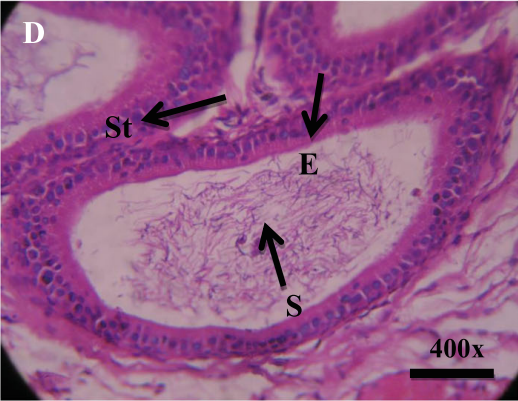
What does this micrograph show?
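A tubule lined by a thick, intact epithelium of crowded cells with several tiers of round purple nuclei and pink cytoplasm. The lumen holds a loose tangle of fine thread-like profiles, and the adjacent tubules are separated by narrow spaces with thin connective tissue.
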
